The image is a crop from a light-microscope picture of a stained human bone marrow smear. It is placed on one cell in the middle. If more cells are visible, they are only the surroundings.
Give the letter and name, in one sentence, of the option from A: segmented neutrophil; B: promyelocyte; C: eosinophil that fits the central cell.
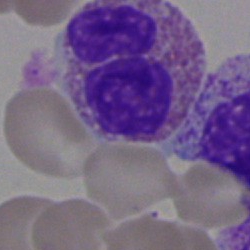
The expected answer is option C, the central cell being an eosinophil.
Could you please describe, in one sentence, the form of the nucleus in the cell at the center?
It is worth mentioning that the nucleus carries two or more lobes.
